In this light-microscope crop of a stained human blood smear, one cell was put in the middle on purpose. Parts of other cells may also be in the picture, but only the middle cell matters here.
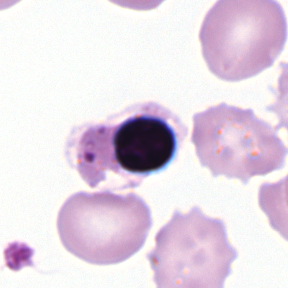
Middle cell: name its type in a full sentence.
Positioned in the middle of the crop is an erythroblast.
